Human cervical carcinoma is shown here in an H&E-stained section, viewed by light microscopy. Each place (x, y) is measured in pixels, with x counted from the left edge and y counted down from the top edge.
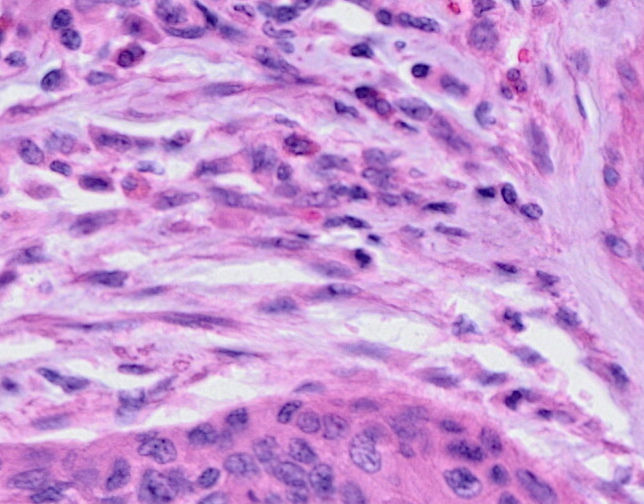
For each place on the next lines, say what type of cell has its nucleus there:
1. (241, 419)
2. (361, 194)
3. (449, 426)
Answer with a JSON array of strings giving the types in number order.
["squamous carcinoma cell", "lymphocyte", "squamous carcinoma cell"]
